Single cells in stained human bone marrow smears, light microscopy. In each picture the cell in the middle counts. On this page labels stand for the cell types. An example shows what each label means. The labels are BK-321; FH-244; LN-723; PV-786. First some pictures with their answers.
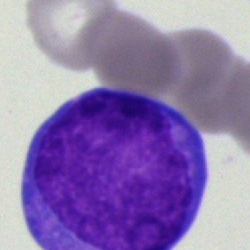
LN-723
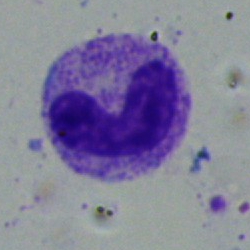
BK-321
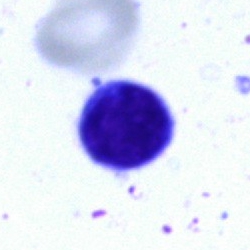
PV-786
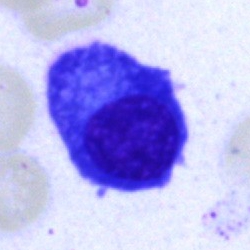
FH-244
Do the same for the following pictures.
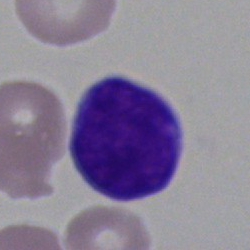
LN-723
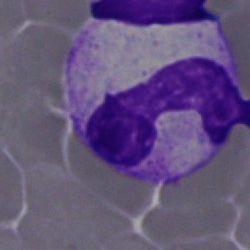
BK-321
